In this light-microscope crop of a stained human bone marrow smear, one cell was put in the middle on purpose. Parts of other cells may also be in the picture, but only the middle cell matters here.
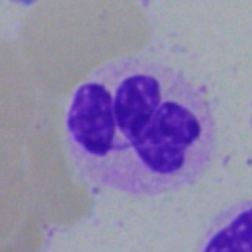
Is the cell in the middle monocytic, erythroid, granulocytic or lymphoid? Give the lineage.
granulocytic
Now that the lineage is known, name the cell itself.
segmented neutrophil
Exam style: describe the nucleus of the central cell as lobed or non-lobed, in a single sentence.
You can count two or more lobes in this nucleus.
